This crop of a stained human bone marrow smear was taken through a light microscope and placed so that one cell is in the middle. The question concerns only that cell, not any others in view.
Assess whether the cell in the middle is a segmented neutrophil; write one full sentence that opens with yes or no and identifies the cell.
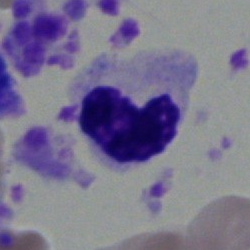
Yes, a segmented neutrophil occupies the middle of the crop.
